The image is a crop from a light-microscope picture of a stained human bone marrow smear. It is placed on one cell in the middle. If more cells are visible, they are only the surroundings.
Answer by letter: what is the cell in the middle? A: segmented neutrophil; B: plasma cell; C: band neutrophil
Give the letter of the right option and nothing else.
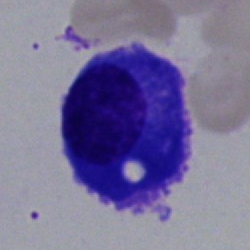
B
